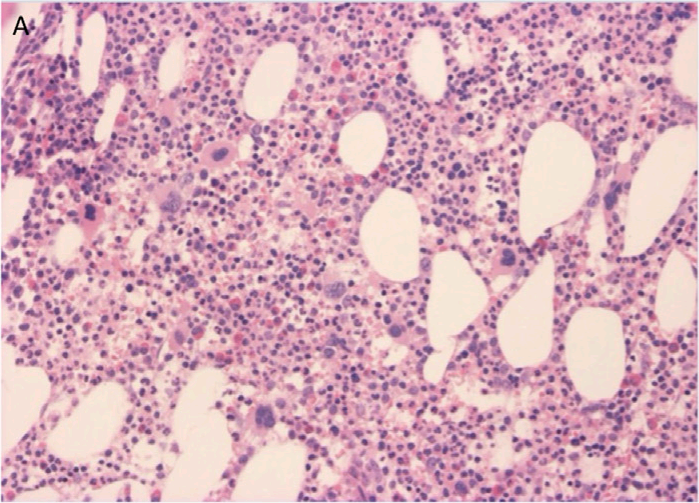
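Section of cellular bone marrow with numerous megakaryocytes scattered among the smaller hematopoietic cells. The megakaryocytes are much larger than the surrounding cells, with abundant pink cytoplasm and dark, lobulated nuclei. The background is densely packed with small round cells with dark nuclei, and clear round to oval fat spaces are interspersed throughout the marrow.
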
